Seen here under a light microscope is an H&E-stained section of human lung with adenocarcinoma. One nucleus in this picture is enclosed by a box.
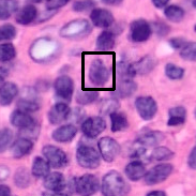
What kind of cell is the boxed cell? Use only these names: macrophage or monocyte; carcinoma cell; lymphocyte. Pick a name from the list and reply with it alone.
lymphocyte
